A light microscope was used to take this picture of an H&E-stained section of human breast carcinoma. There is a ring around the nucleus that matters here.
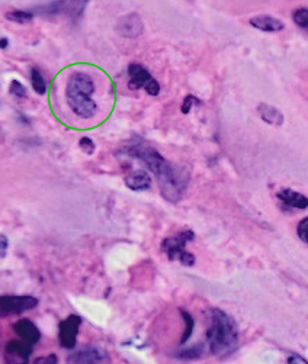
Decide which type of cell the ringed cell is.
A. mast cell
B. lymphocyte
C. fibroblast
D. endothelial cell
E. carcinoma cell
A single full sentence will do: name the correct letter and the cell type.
Option A is right, and the ringed cell is a mast cell.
